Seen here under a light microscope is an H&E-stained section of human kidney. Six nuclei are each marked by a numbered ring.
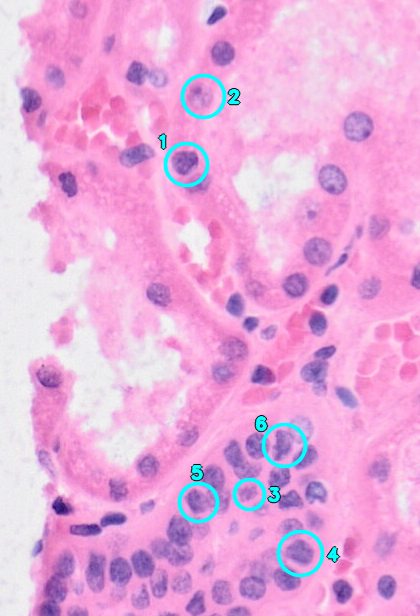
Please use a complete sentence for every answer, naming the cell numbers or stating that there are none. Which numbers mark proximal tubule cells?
The cells carrying labels 1 and 2 are proximal tubule cells.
